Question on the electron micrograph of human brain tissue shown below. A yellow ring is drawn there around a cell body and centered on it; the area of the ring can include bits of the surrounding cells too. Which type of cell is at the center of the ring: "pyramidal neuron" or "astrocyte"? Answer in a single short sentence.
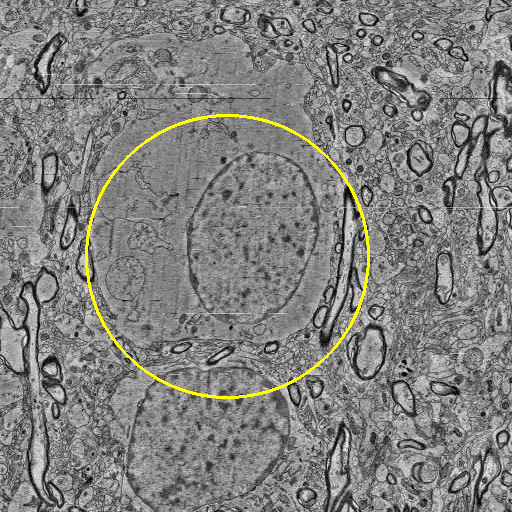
The ring is centered on an astrocyte.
